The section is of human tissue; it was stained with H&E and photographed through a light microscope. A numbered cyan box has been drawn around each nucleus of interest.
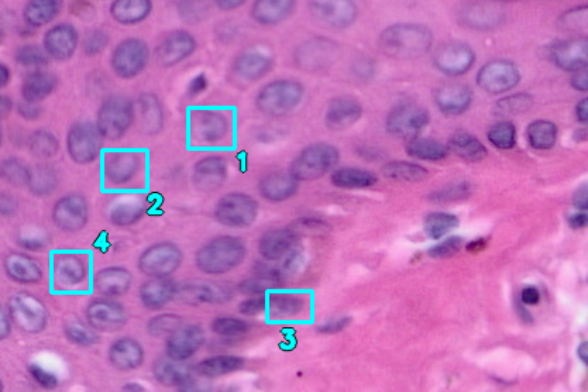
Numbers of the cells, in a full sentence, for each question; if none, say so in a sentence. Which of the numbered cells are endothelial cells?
The correct answer is that none of the numbered cells are endothelial cells.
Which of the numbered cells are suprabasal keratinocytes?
Identification: the cells with numbers 1, 2 and 4 are suprabasal keratinocytes.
